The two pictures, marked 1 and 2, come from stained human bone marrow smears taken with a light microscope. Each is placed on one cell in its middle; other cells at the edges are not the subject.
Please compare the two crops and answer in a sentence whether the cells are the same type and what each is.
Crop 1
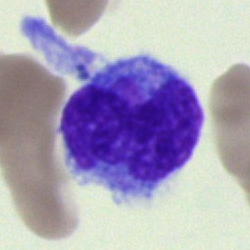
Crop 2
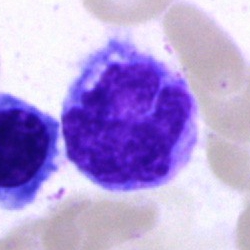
Yes, monocytes are the central cells in the two crops.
